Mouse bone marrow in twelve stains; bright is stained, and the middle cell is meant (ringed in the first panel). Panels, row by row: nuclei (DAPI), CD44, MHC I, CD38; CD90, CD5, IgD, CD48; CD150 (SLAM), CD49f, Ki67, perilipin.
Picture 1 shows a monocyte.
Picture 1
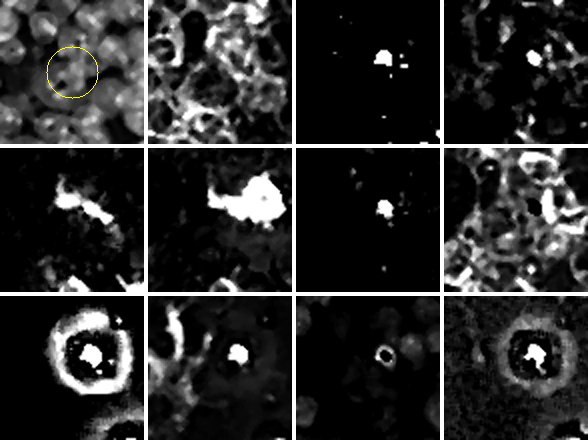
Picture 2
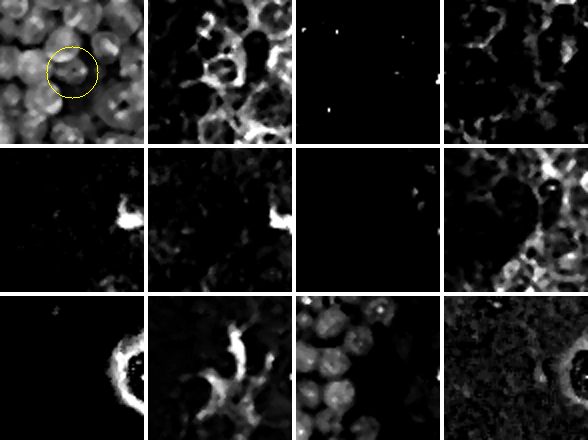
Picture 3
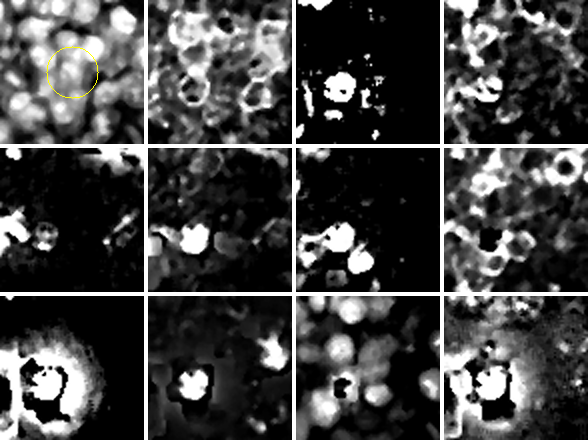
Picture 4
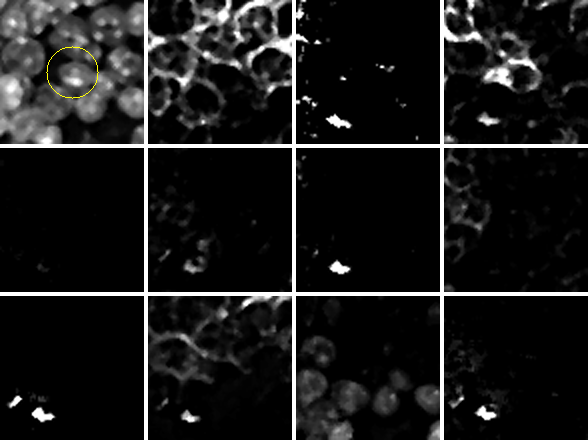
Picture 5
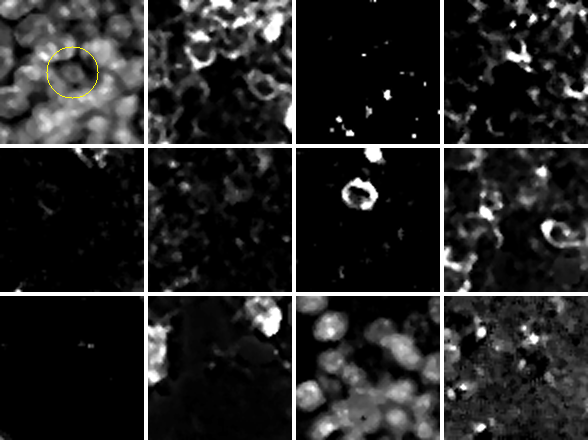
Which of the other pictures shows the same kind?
Picture 3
